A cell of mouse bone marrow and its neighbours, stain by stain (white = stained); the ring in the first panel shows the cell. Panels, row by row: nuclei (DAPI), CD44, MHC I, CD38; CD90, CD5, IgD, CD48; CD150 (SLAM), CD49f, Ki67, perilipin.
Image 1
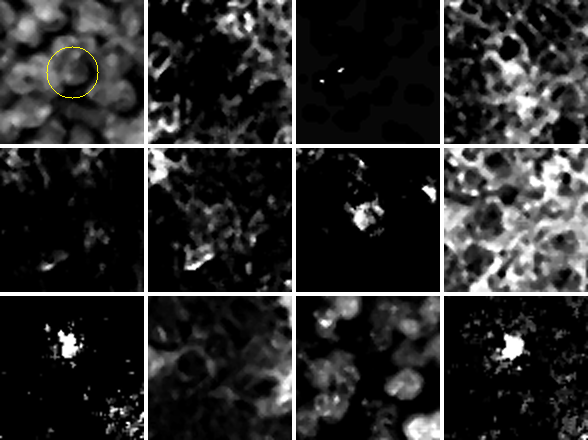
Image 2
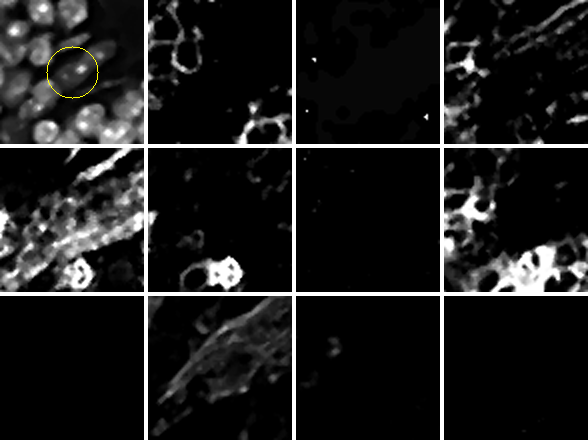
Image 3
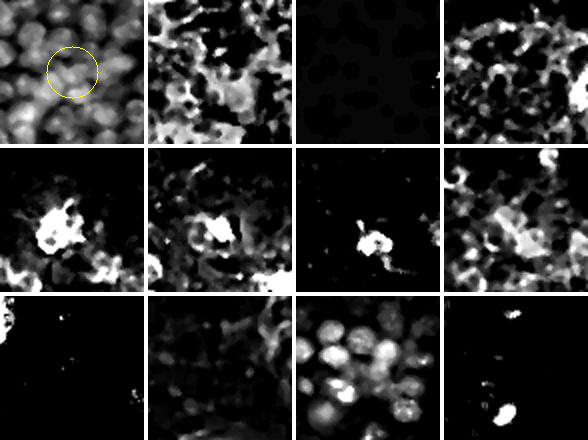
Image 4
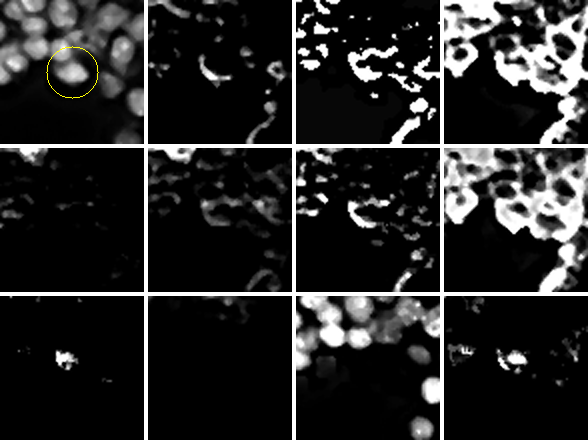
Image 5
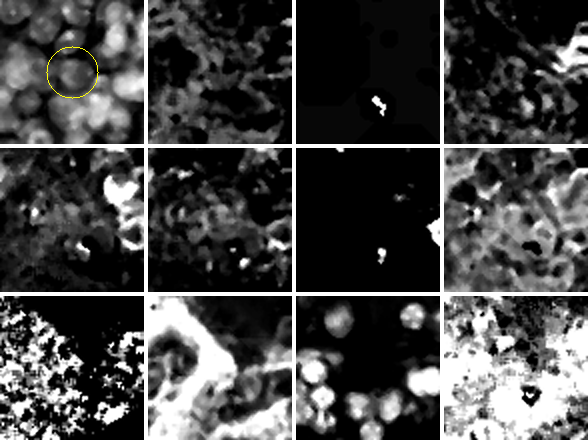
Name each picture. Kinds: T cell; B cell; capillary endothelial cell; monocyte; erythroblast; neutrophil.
1. B cell
2. capillary endothelial cell
3. T cell
4. monocyte
5. T cell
